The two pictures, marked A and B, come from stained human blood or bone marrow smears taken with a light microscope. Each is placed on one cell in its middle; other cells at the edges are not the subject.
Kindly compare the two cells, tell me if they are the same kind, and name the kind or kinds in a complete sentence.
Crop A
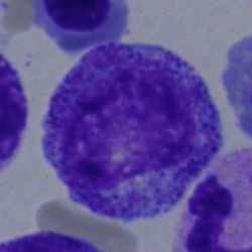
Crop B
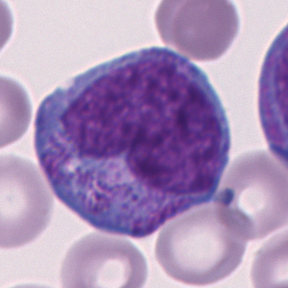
Yes, the central cells, in both crops, are promyelocytes.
